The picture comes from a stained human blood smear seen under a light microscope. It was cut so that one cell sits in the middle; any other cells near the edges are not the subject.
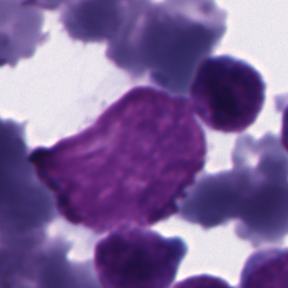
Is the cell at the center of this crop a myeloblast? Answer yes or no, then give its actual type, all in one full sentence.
No, the central cell is not a myeloblast; it is a smudge cell.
